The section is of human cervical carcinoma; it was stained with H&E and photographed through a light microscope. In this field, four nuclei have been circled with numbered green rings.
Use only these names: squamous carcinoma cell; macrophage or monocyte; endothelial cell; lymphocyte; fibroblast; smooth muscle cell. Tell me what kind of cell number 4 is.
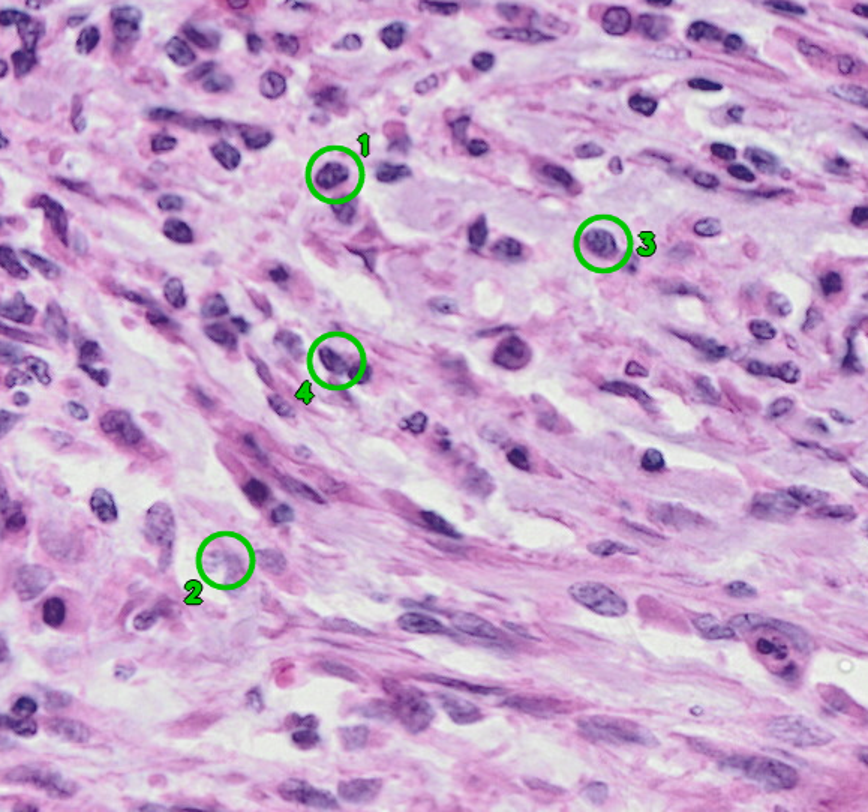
lymphocyte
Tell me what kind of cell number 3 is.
lymphocyte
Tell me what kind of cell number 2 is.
fibroblast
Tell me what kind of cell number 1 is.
lymphocyte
